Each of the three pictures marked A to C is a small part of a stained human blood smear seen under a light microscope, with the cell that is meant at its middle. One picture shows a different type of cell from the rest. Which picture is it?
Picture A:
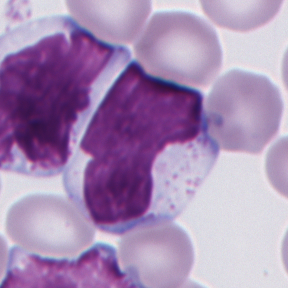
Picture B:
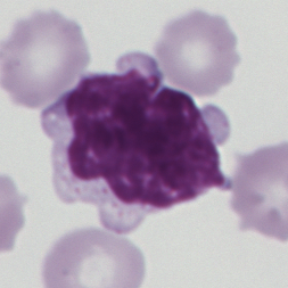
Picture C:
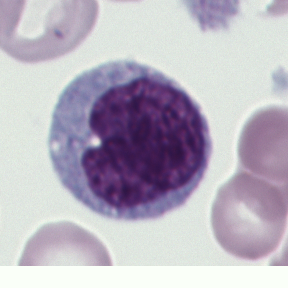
C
